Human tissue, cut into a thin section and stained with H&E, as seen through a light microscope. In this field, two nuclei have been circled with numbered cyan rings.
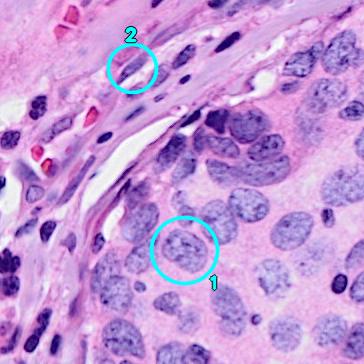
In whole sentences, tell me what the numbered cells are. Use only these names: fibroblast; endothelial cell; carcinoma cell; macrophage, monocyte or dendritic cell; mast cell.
Cell 1 is a carcinoma cell and cell 2 is a fibroblast.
